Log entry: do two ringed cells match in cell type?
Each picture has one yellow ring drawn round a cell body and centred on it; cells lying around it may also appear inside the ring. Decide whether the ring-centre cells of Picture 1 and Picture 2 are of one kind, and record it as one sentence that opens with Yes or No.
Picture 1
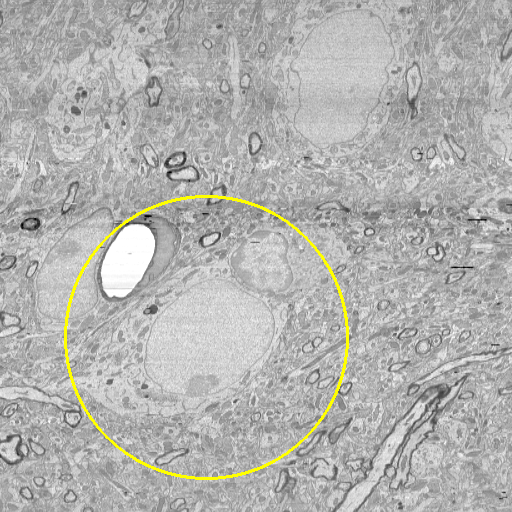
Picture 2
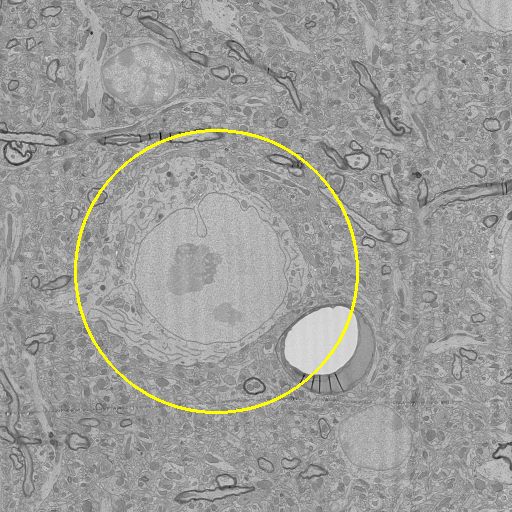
Yes, the cells at the ring centres of the two pictures belong to one kind.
